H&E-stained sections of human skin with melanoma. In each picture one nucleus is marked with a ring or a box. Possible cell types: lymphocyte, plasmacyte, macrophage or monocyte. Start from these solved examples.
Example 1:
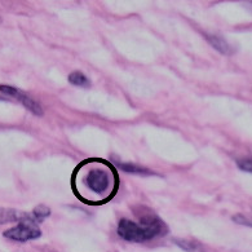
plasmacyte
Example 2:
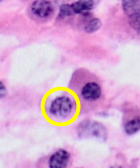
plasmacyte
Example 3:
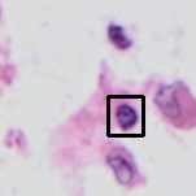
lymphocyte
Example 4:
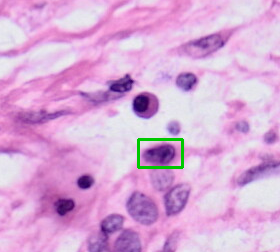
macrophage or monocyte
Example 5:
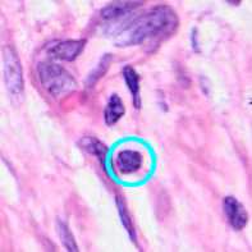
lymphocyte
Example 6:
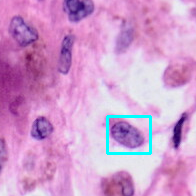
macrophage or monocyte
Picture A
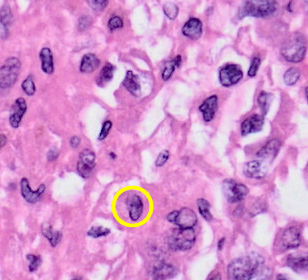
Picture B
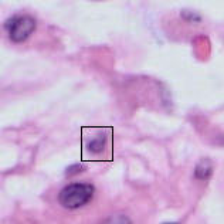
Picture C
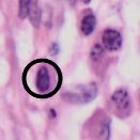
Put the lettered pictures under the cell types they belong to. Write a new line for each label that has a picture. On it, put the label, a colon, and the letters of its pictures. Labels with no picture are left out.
plasmacyte: C
macrophage or monocyte: A, B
